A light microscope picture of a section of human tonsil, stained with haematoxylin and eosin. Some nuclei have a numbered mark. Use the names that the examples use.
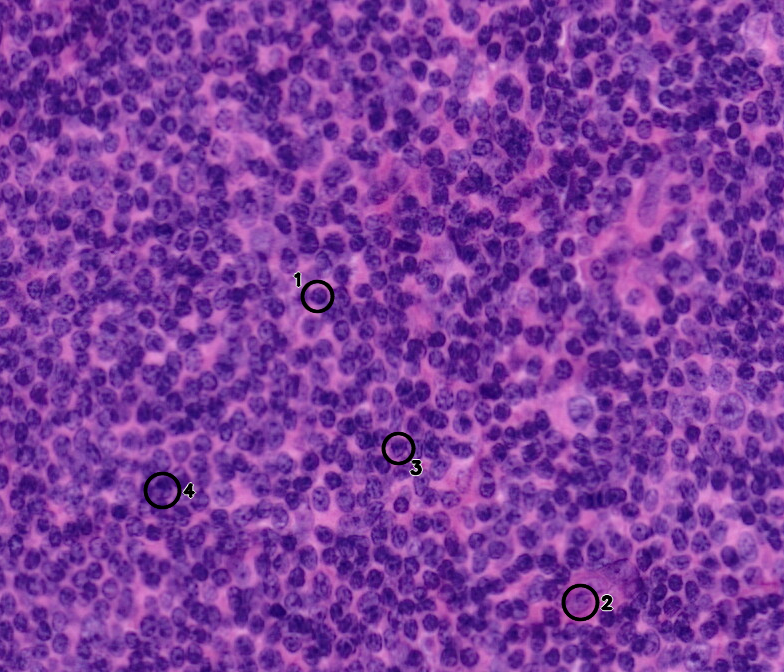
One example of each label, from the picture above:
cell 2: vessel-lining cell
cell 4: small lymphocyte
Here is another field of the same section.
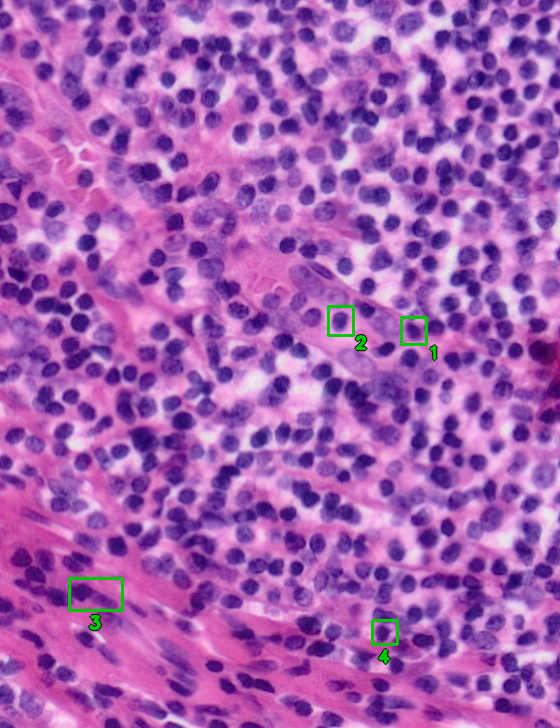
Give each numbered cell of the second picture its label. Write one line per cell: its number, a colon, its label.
1: vessel-lining cell
2: vessel-lining cell
3: vessel-lining cell
4: small lymphocyte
